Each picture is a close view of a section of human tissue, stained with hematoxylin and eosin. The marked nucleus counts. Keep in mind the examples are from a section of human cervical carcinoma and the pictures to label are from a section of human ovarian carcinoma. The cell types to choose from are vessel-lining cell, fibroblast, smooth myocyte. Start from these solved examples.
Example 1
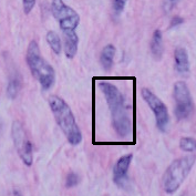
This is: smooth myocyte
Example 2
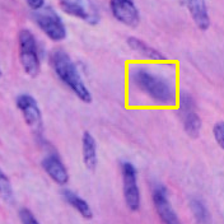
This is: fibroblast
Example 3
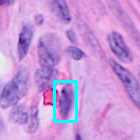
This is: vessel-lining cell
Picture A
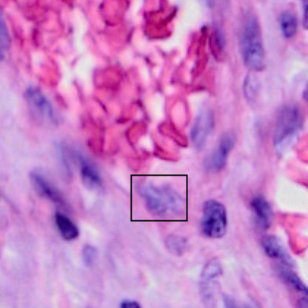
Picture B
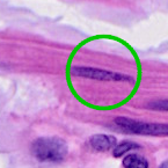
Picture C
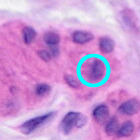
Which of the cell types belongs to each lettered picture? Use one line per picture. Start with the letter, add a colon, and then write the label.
A: vessel-lining cell
B: smooth myocyte
C: smooth myocyte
